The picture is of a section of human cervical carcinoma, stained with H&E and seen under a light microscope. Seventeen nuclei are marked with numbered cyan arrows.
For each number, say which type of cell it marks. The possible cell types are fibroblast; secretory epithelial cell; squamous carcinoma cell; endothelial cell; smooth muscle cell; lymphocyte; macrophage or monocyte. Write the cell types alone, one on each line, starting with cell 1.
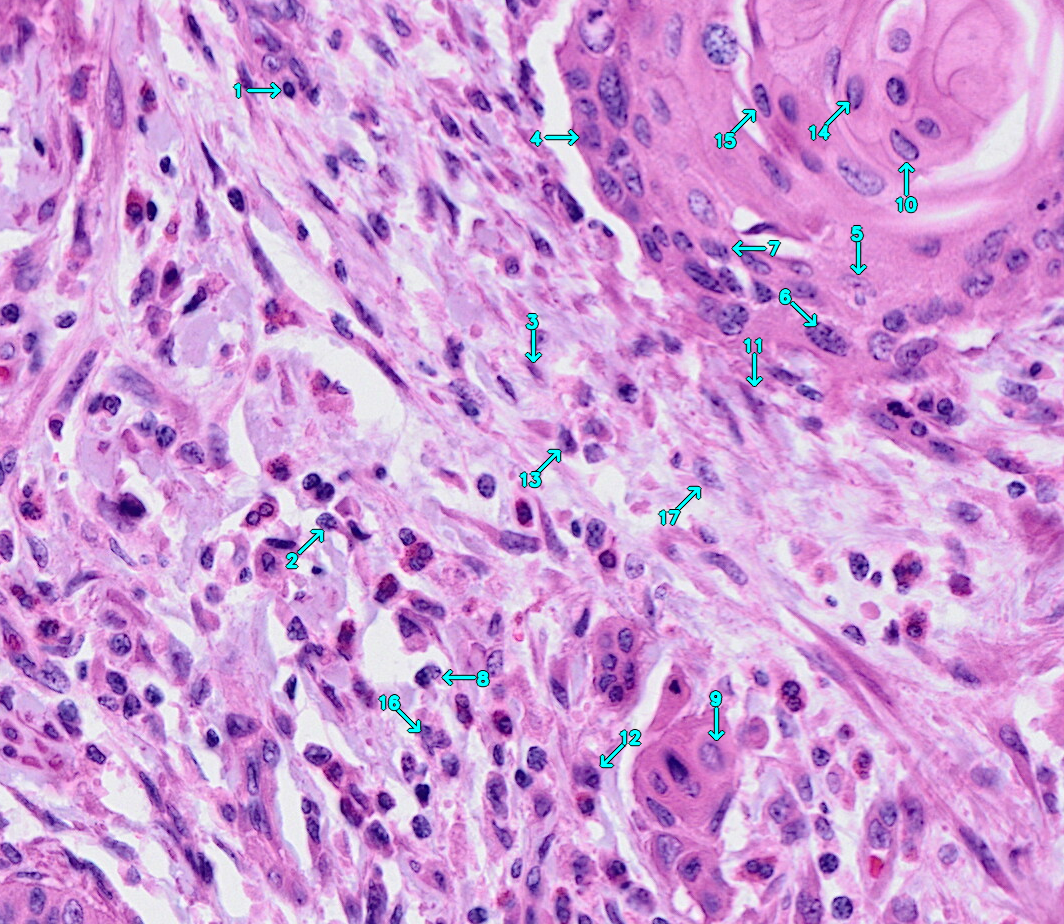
lymphocyte
lymphocyte
fibroblast
squamous carcinoma cell
squamous carcinoma cell
squamous carcinoma cell
squamous carcinoma cell
lymphocyte
squamous carcinoma cell
squamous carcinoma cell
fibroblast
macrophage or monocyte
macrophage or monocyte
squamous carcinoma cell
squamous carcinoma cell
macrophage or monocyte
fibroblast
